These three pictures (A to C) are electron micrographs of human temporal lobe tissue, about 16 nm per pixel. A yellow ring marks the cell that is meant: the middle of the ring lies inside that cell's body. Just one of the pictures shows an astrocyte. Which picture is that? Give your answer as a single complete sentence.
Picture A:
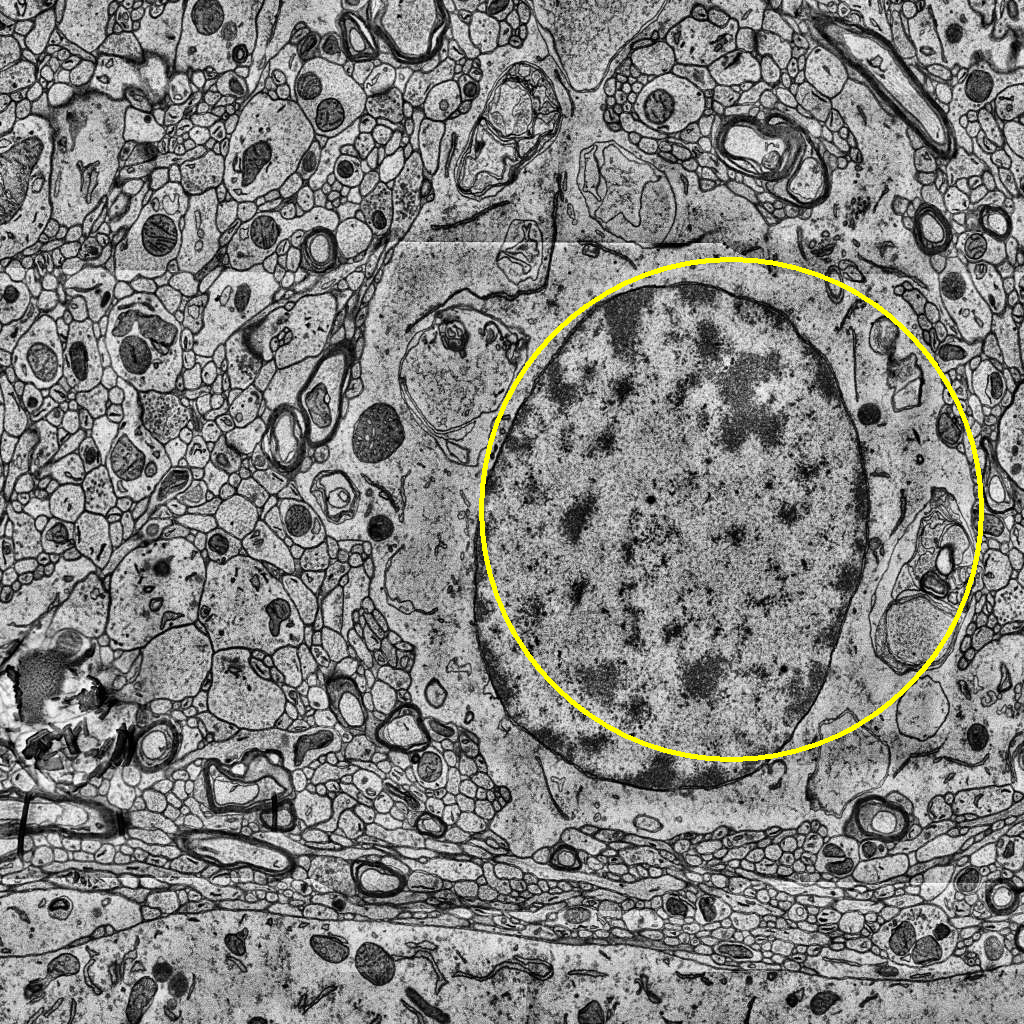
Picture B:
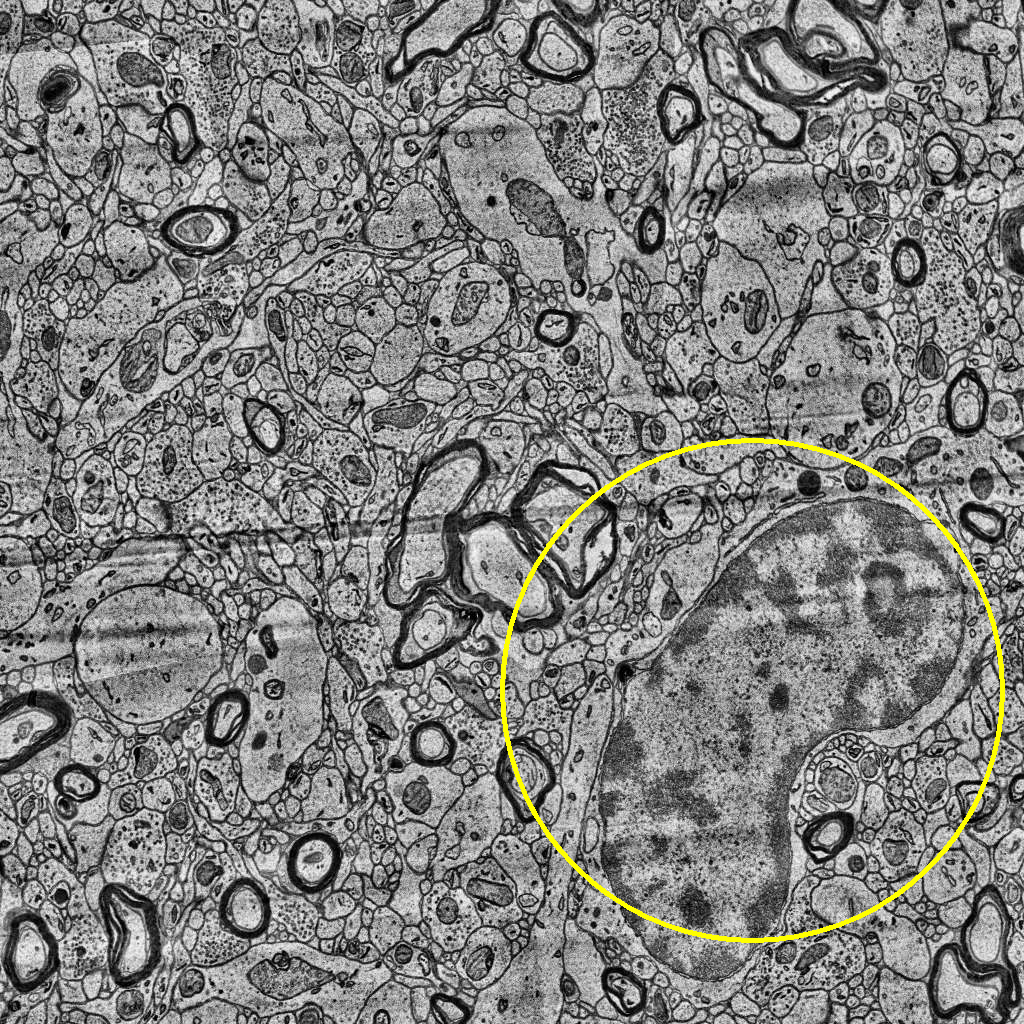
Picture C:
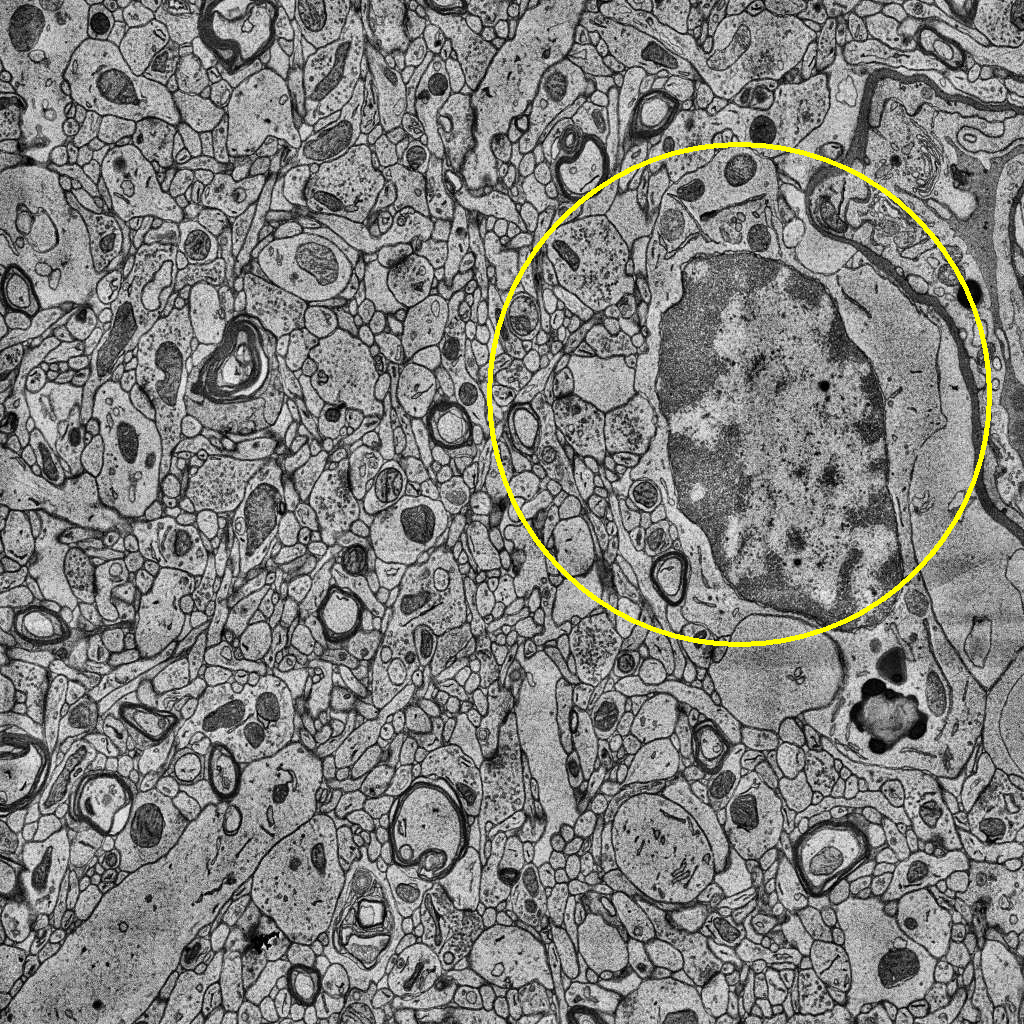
The cell in picture A is the astrocyte.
